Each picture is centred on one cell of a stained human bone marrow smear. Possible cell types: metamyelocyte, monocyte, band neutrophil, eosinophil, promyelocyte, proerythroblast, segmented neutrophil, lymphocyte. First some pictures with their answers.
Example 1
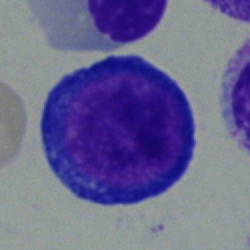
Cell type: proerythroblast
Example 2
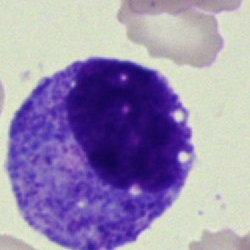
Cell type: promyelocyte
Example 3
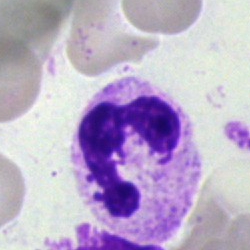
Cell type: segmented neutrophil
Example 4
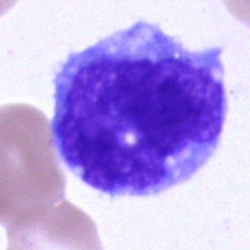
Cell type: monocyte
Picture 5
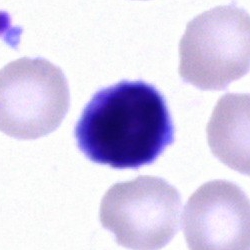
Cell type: lymphocyte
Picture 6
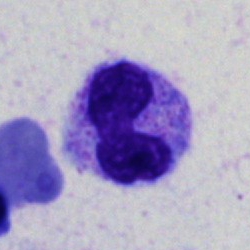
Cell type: band neutrophil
